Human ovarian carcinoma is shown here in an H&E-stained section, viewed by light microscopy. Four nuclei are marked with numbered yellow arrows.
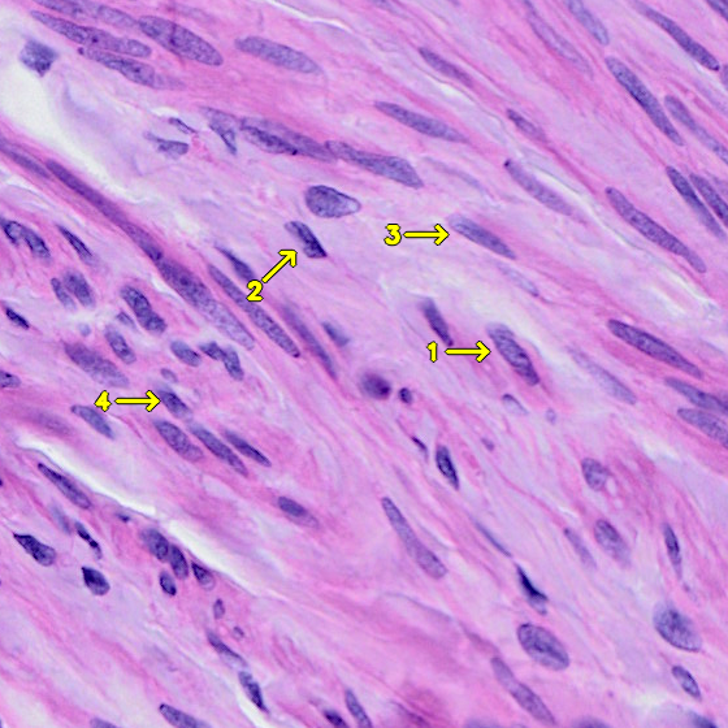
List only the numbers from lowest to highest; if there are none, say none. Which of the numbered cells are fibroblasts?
2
